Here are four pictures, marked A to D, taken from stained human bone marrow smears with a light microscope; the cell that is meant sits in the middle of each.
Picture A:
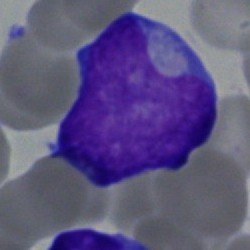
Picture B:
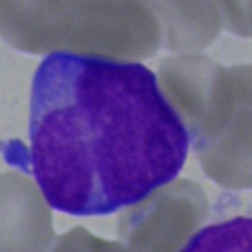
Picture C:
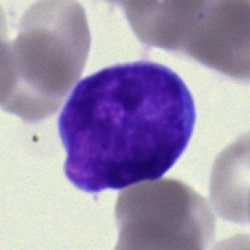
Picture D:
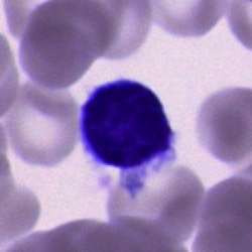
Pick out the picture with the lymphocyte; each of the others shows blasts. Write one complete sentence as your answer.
The cell in picture D is the lymphocyte.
